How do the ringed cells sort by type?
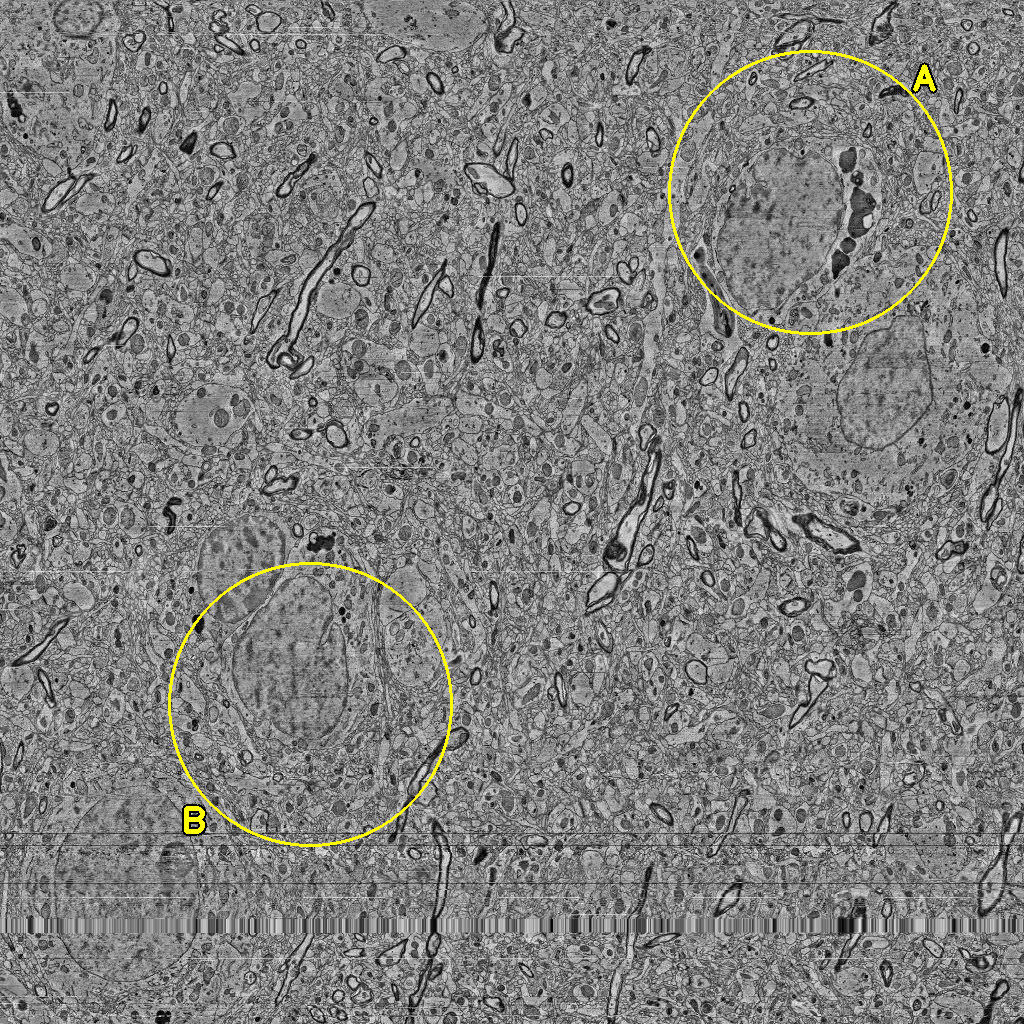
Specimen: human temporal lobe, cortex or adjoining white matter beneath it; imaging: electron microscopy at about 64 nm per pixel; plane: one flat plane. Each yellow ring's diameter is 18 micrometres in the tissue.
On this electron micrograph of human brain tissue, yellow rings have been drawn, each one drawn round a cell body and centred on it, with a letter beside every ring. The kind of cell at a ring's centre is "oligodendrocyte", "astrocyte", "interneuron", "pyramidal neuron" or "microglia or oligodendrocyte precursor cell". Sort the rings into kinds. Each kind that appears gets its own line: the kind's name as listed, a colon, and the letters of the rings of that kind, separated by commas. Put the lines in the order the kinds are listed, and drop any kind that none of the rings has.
interneuron: A, B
